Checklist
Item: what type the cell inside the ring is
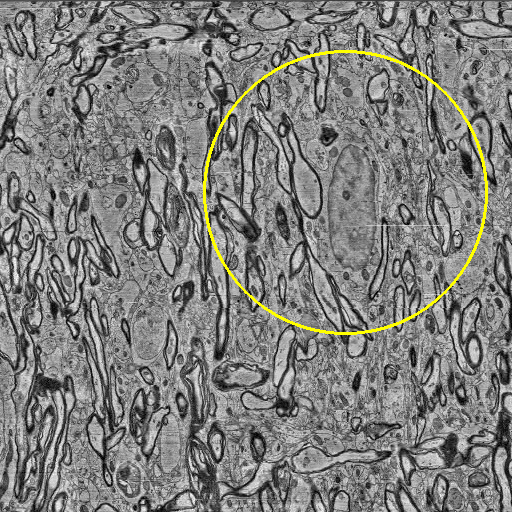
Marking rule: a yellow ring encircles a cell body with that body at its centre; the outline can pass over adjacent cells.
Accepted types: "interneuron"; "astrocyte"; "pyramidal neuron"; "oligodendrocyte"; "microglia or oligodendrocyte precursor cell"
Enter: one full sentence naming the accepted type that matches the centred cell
The entry is that an oligodendrocyte lies at the centre of the yellow ring.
